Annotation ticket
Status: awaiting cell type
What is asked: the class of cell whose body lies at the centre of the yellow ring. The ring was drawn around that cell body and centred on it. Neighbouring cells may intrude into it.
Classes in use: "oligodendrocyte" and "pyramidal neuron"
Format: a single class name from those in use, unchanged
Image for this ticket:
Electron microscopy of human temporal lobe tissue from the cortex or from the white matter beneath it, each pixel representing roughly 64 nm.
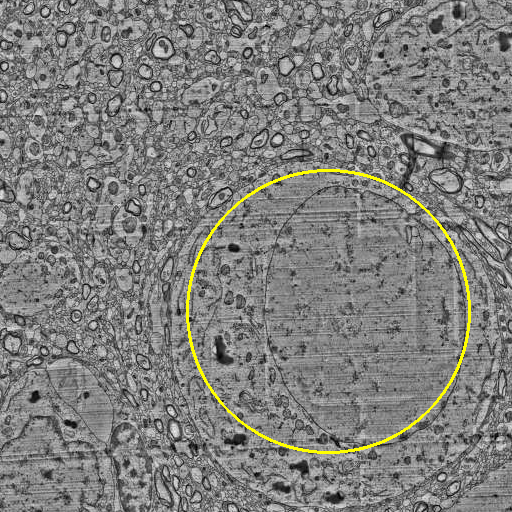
pyramidal neuron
